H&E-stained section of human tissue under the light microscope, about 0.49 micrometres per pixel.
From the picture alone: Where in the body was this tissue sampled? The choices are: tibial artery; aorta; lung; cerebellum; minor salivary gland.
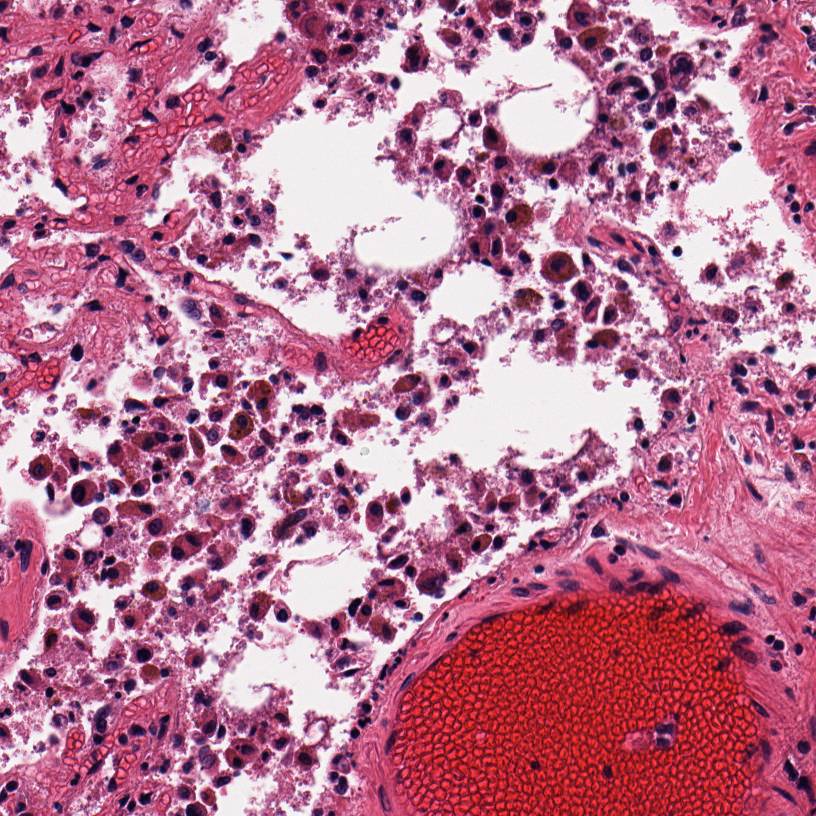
lung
